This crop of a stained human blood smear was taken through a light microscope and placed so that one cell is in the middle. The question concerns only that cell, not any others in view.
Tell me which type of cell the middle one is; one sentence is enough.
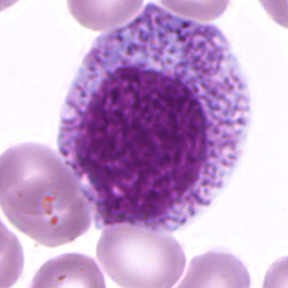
The cell occupying the middle of the crop is a promyelocyte.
